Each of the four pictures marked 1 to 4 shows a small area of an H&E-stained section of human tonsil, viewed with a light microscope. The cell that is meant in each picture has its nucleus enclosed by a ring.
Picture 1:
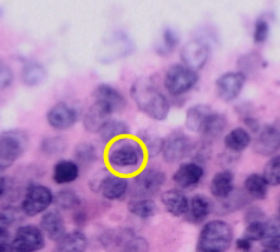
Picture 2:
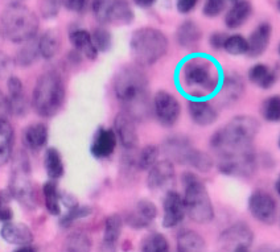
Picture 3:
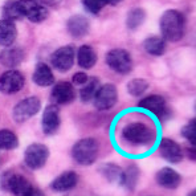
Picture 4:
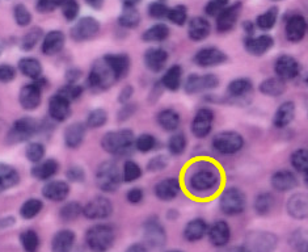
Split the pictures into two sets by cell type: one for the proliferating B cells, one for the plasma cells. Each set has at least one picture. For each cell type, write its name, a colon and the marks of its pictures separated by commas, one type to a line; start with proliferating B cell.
proliferating B cell: 1, 2, 3
plasma cell: 4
